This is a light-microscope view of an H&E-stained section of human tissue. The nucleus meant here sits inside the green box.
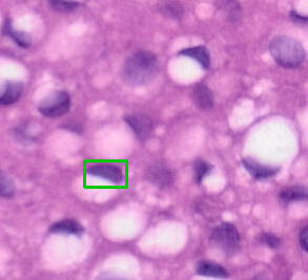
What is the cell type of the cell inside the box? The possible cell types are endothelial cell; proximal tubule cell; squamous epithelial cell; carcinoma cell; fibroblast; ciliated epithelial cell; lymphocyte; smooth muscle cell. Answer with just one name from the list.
squamous epithelial cell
